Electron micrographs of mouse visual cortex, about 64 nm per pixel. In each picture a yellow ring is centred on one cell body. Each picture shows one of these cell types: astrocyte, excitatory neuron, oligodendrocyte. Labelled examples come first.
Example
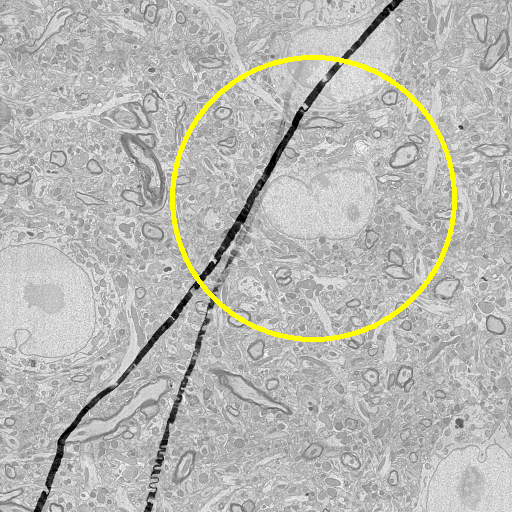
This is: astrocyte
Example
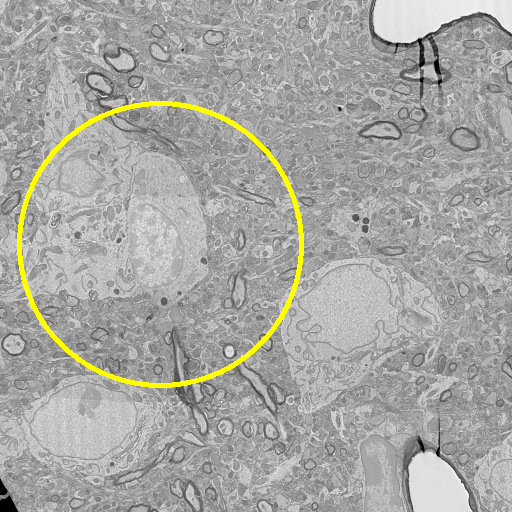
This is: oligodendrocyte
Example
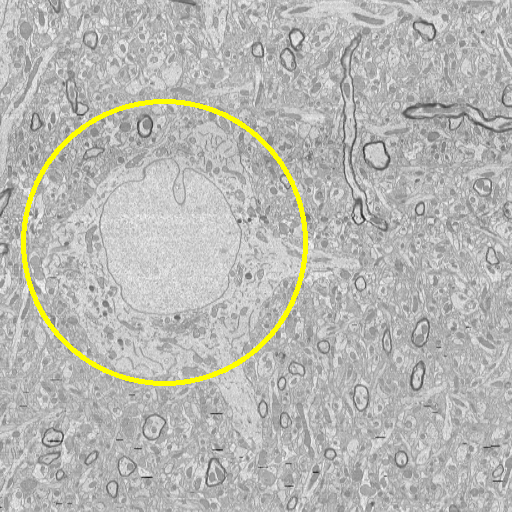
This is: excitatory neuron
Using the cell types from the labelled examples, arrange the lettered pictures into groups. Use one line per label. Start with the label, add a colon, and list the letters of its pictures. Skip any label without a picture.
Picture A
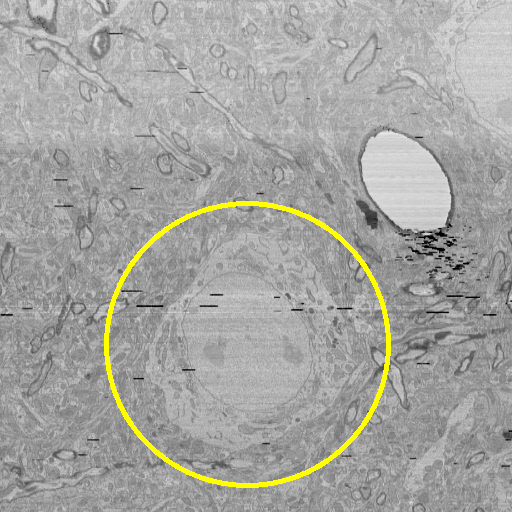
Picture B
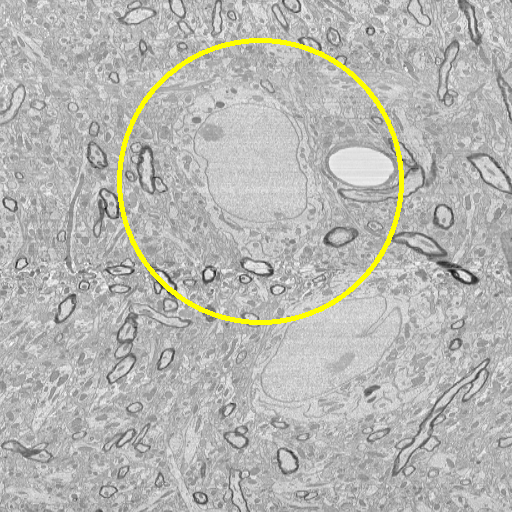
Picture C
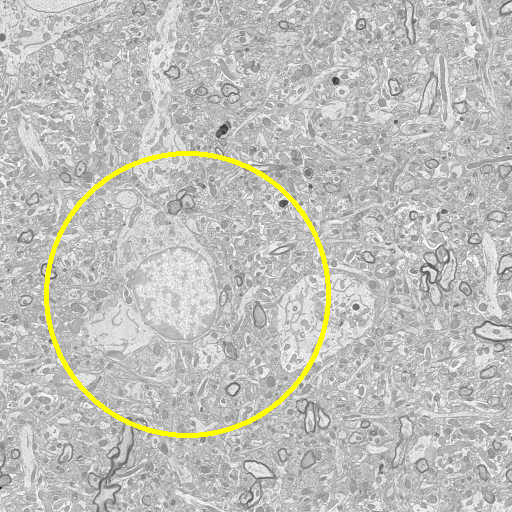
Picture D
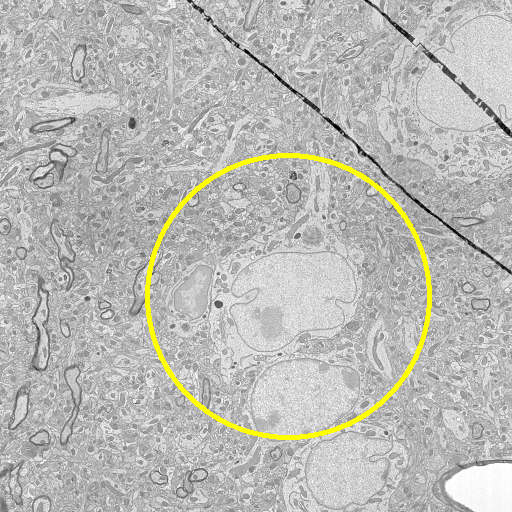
excitatory neuron: A, B, D
oligodendrocyte: C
